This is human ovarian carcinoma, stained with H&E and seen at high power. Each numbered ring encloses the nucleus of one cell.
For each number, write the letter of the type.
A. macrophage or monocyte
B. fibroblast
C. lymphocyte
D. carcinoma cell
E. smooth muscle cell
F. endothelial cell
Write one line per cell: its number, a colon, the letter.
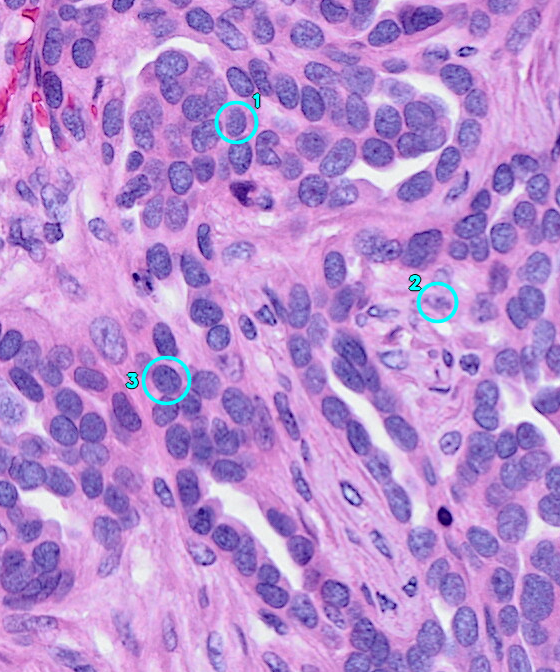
1: D
2: B
3: D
